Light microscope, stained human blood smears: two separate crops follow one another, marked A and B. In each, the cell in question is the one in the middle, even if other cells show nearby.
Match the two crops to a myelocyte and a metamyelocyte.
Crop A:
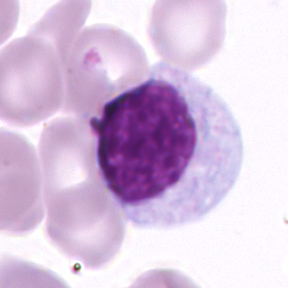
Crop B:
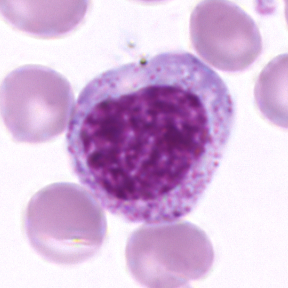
A: metamyelocyte
B: myelocyte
